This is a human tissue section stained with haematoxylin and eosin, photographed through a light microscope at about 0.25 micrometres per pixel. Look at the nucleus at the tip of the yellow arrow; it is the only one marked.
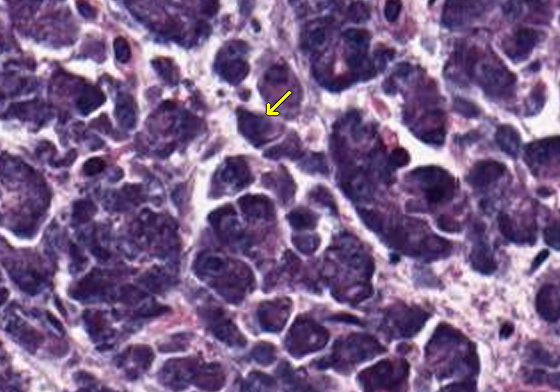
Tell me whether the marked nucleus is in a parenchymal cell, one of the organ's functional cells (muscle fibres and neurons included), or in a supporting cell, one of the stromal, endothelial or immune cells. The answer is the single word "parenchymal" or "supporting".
parenchymal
